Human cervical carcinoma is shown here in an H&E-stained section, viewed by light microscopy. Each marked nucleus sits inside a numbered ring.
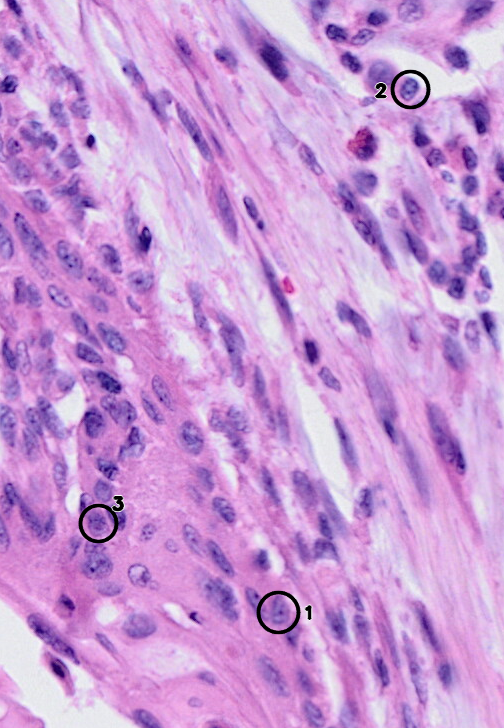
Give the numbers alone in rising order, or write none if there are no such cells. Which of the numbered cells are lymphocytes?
2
